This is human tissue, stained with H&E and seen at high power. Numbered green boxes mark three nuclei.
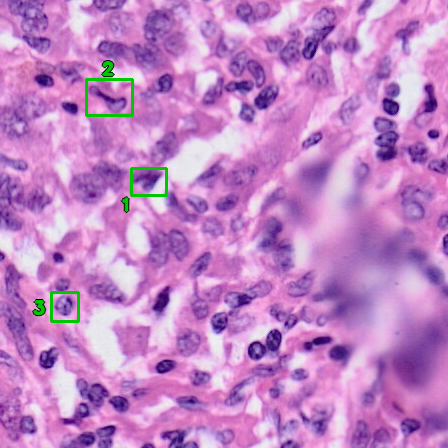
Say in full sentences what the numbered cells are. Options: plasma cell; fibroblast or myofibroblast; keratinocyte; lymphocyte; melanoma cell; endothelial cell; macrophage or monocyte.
Cell 1 is a melanoma cell, cell 2 is a macrophage or monocyte and cell 3 is a lymphocyte.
